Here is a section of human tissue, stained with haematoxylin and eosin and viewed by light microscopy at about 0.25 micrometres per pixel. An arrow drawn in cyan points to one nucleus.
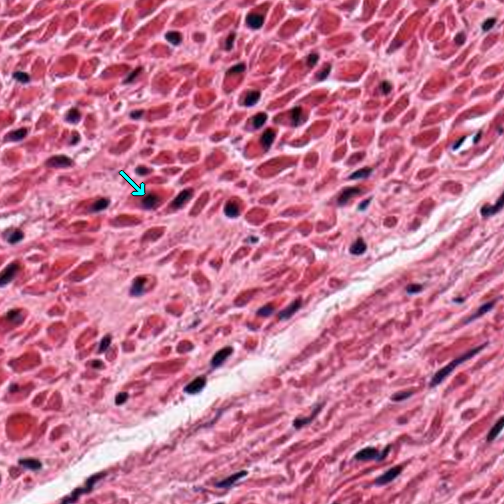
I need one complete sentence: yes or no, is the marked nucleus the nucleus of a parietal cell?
No, the nucleus pointed out by the marker is not in a parietal cell.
